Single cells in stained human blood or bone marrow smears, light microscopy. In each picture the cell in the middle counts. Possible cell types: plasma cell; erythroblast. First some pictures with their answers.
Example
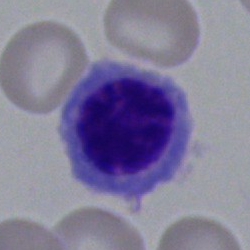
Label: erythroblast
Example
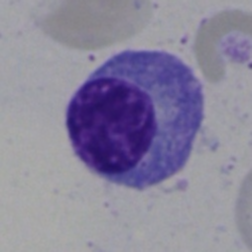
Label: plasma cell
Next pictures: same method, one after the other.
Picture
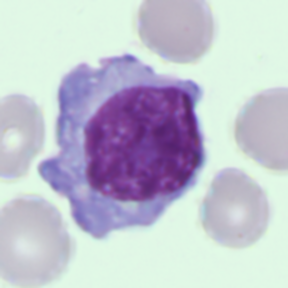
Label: plasma cell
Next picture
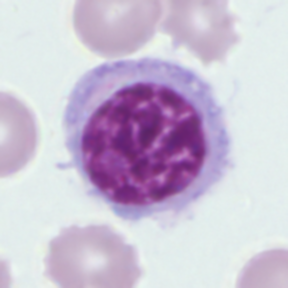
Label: plasma cell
